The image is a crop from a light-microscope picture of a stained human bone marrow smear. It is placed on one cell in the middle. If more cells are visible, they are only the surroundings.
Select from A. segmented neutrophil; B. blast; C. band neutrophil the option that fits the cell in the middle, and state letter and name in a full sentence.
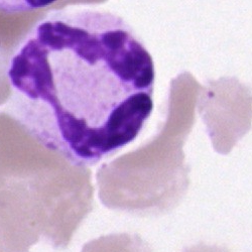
Given that the cell in the middle is a segmented neutrophil, option A is correct.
